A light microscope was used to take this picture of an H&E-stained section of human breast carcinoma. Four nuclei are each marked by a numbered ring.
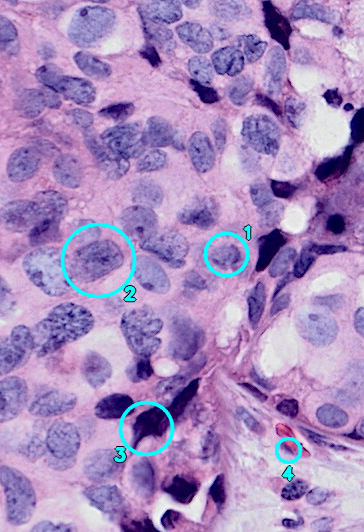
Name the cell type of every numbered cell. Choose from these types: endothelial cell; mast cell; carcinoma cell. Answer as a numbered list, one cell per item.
1. carcinoma cell
2. carcinoma cell
3. carcinoma cell
4. endothelial cell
